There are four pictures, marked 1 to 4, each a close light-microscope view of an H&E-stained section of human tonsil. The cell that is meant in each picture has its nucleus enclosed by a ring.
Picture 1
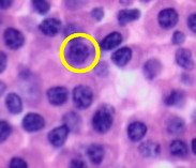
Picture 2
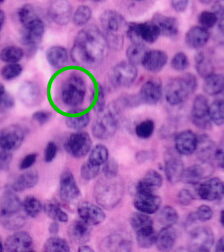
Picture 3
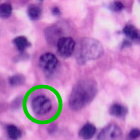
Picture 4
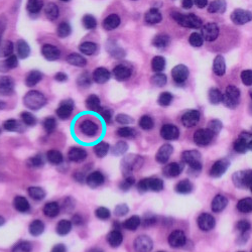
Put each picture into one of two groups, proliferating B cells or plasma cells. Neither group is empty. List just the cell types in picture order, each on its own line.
plasma cell
proliferating B cell
plasma cell
plasma cell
